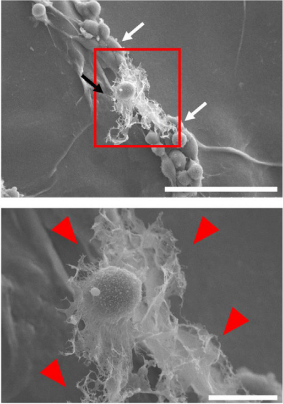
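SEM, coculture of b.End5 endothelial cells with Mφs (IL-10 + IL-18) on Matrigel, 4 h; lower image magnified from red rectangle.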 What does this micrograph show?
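The upper view shows a cord of elongated and rounded cells lying across the smooth matrix surface. At higher magnification, a small rounded cell body sits on an extensive, irregular sheet of ruffled, veil-like membrane. This membrane spreads as flat pseudopodia in several directions over the neighbouring cells and the substrate. The lamellae are thin and folded, with frayed edges.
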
